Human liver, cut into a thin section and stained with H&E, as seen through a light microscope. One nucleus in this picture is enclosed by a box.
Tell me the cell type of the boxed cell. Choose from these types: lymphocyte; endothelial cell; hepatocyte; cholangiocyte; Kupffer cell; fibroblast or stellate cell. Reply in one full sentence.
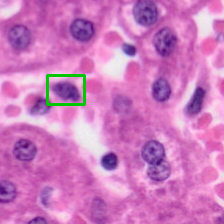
By cell type, the boxed cell is a Kupffer cell.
